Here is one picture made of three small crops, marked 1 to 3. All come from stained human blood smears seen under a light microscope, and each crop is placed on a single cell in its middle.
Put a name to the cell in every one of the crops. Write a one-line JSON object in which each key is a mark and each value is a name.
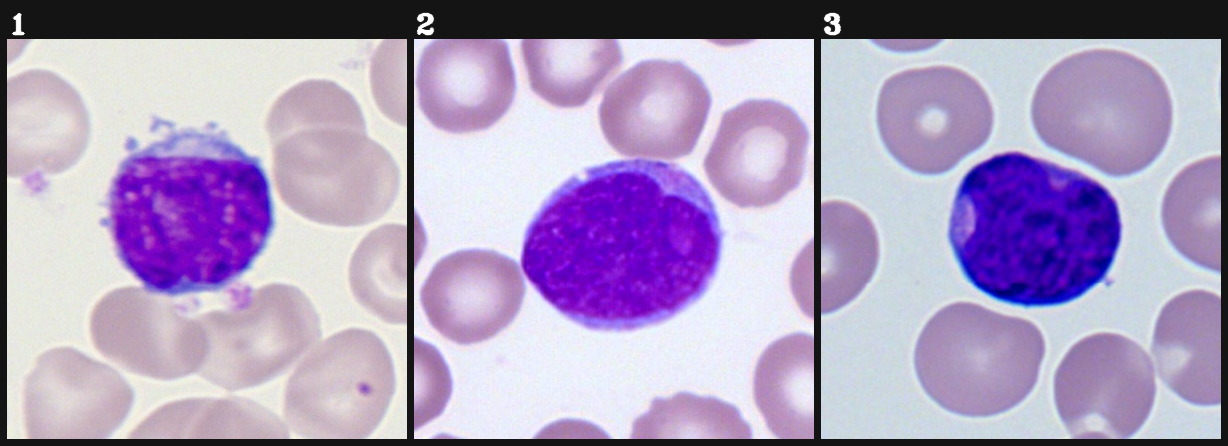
{"1": "lymphocyte", "2": "myeloblast", "3": "myeloblast"}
